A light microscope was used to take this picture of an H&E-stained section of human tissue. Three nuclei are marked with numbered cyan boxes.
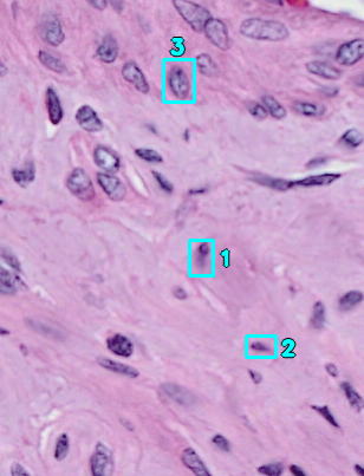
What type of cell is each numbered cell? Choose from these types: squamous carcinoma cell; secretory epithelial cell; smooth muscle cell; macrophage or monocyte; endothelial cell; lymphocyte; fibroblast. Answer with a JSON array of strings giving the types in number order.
["fibroblast", "fibroblast", "smooth muscle cell"]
